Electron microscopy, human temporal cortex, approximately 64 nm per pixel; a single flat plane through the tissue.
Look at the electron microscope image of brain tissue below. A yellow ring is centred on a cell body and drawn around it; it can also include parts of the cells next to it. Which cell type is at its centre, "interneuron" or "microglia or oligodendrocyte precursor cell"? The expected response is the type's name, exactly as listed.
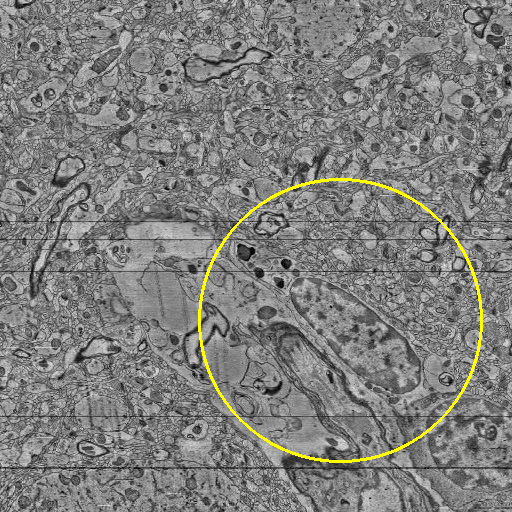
microglia or oligodendrocyte precursor cell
